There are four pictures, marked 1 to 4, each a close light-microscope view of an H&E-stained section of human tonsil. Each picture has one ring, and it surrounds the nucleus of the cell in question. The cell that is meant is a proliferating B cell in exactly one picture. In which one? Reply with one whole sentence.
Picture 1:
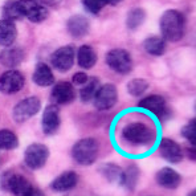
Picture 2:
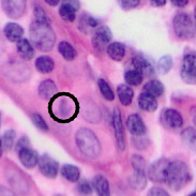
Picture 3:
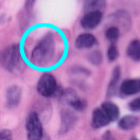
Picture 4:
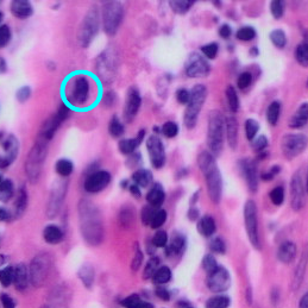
The picture with the proliferating B cell is 1.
